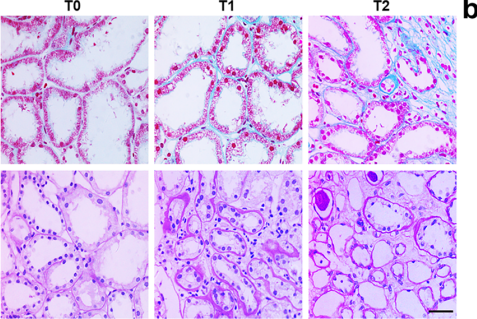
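Kidney cortex with closely packed tubules lined by a single layer of cuboidal epithelial cells with round nuclei, red in the trichrome row and pink-purple in the periodic acid-Schiff row. In the trichrome row the spaces between tubules hold blue-green fibres that are scant on the left and widen into broad blue-green bands on the right, pushing the tubules apart. In the periodic acid-Schiff row the tubular basement membranes are outlined in magenta; towards the right the tubules look flattened and dilated, with thickened membranes, wider interstitium, and some lumina holding dense magenta material.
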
